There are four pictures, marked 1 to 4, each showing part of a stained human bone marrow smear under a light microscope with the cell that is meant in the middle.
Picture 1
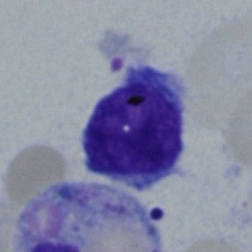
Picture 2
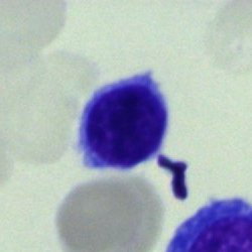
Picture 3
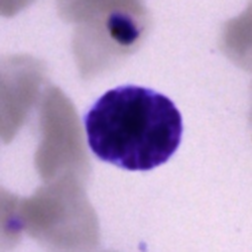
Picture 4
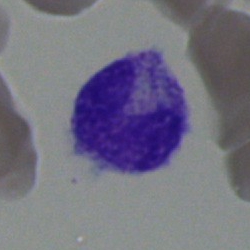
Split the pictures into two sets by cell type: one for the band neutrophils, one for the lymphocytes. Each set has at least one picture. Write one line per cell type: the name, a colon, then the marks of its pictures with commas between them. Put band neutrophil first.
band neutrophil: 4
lymphocyte: 1, 2, 3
